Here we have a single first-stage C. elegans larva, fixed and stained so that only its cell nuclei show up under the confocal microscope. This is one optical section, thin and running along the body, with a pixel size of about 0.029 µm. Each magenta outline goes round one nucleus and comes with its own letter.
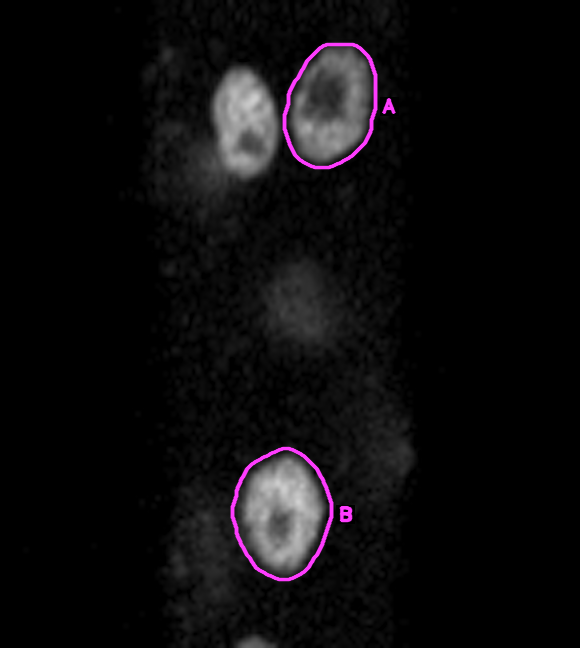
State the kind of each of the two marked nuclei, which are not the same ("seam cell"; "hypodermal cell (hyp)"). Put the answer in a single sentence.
B belongs to a seam cell, and A to a hypodermal cell (hyp).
